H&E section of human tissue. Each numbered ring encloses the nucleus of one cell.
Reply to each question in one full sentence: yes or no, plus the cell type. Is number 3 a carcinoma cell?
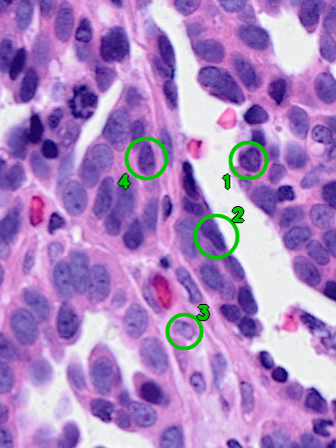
No, the cell denoted 3 is a fibroblast rather than a carcinoma cell.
